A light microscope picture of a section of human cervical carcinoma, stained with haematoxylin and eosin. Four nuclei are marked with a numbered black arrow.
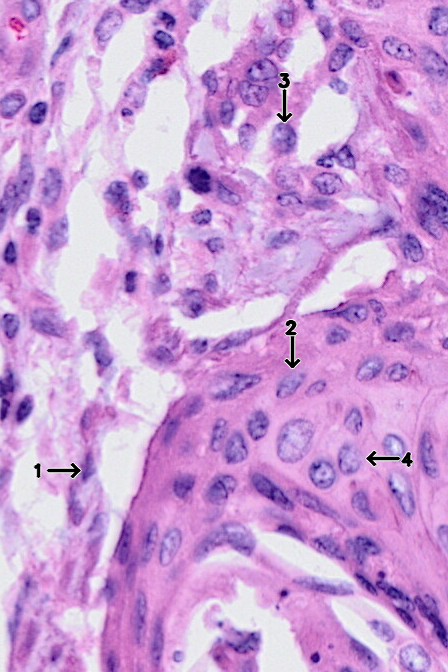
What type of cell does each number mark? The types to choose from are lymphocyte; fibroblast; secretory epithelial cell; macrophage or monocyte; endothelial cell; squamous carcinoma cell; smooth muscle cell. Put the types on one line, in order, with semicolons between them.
fibroblast; squamous carcinoma cell; macrophage or monocyte; squamous carcinoma cell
